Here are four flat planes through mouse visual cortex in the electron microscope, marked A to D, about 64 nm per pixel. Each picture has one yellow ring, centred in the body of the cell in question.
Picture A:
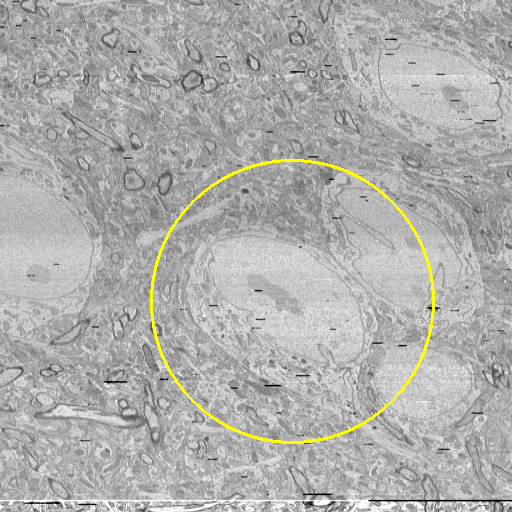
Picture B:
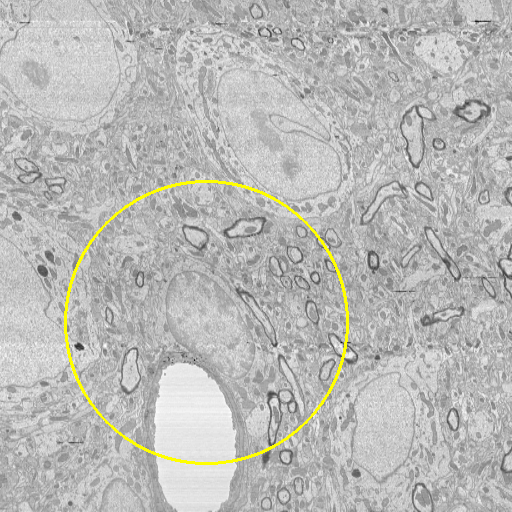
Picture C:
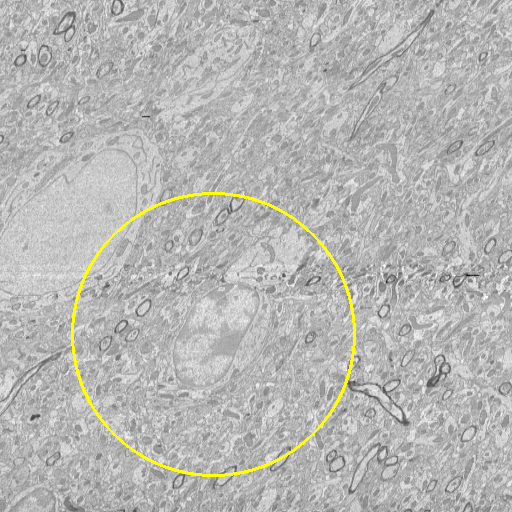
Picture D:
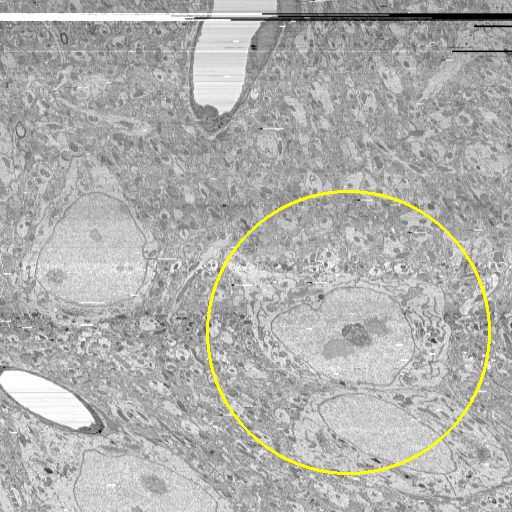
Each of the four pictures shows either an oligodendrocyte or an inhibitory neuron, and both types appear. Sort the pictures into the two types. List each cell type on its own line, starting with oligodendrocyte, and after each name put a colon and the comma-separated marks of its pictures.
oligodendrocyte: B, C
inhibitory neuron: A, D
